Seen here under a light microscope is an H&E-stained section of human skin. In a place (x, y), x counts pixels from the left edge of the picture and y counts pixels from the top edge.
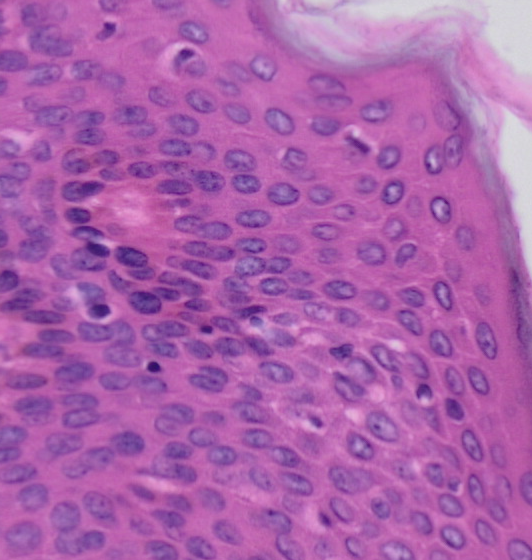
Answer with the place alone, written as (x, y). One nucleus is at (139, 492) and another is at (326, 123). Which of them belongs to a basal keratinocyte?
(139, 492)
